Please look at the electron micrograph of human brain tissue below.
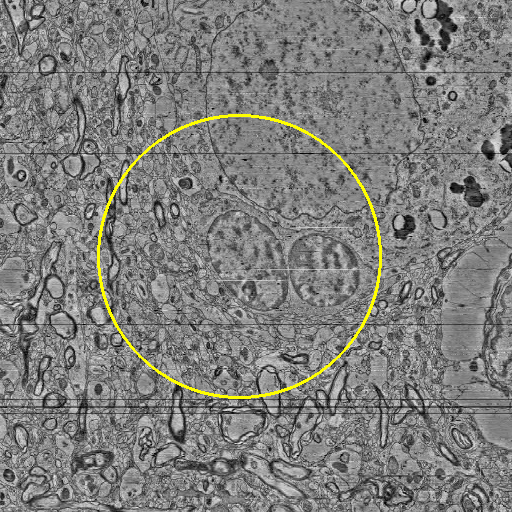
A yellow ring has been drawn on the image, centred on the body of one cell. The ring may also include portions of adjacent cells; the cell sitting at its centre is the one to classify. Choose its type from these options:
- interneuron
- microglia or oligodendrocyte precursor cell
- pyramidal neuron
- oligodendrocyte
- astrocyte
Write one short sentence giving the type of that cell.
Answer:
The cell in the middle of the ring is an oligodendrocyte.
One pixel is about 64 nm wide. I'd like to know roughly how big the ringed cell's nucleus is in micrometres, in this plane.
Clearly longer than it is wide in this plane, the nucleus measures roughly 7 by 5 micrometres.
